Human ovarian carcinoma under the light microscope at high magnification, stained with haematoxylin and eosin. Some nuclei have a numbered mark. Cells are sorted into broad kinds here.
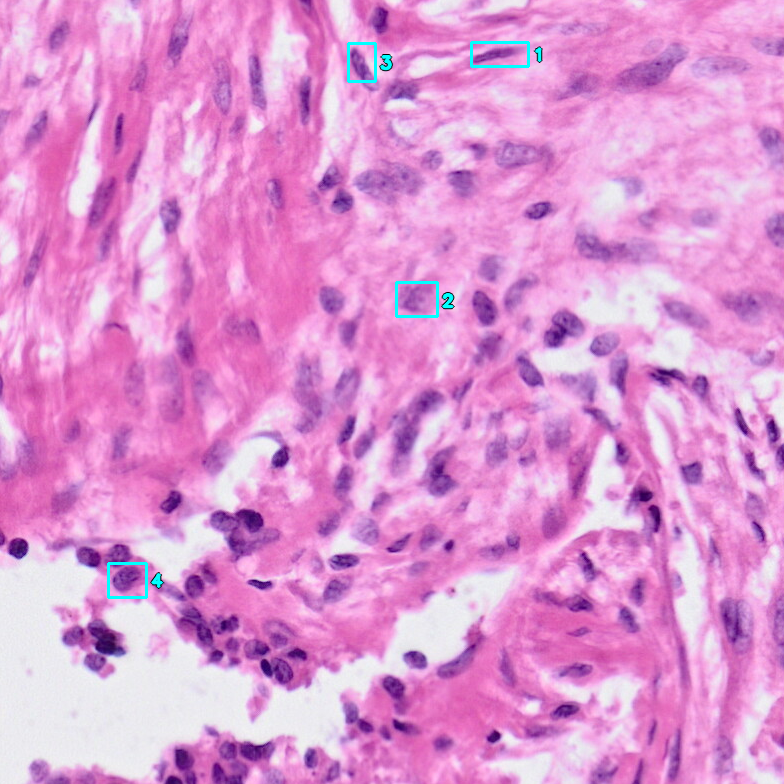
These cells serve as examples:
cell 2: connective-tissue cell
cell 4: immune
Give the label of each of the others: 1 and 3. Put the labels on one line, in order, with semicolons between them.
connective-tissue cell; connective-tissue cell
